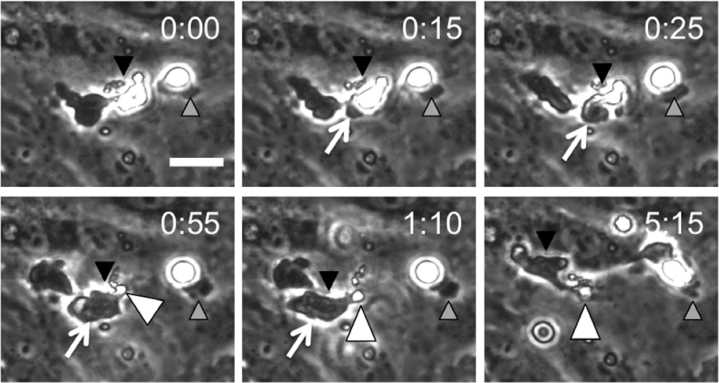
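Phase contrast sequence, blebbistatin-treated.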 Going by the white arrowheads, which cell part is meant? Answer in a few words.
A: Portion of the tail that remains above the endothelium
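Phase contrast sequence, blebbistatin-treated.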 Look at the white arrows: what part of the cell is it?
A: darkened portion of the neutrophil under the endothelium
